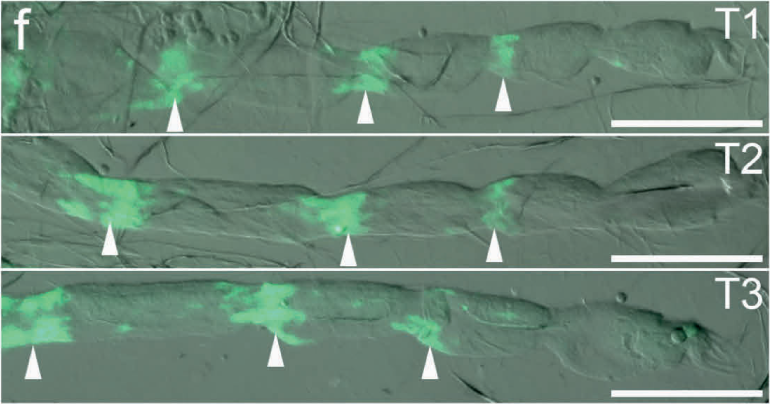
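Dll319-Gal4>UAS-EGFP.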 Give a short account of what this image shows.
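Three slender, jointed appendages lie stacked one above the other, each divided by shallow constrictions into a row of short cylindrical segments. Patches of green fluorescence sit at regular intervals along each appendage, centred at or just before the joints between segments. The distal segments towards the tip carry little or no green. The segmented form and the regular joints mark these as developing pupal legs, with the green patches in their tarsal segments.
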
